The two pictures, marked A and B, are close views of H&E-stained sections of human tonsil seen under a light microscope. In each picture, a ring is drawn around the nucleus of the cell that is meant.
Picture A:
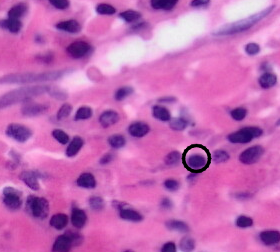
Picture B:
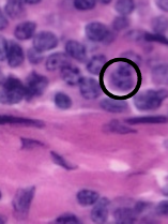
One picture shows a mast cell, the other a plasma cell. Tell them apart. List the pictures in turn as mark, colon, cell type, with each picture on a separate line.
A: mast cell
B: plasma cell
